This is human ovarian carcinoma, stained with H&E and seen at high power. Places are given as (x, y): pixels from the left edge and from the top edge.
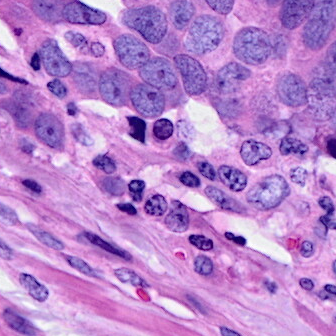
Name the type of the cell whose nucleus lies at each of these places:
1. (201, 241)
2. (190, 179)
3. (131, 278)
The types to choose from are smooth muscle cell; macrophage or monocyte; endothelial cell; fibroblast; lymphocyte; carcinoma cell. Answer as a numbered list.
1. lymphocyte
2. lymphocyte
3. endothelial cell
